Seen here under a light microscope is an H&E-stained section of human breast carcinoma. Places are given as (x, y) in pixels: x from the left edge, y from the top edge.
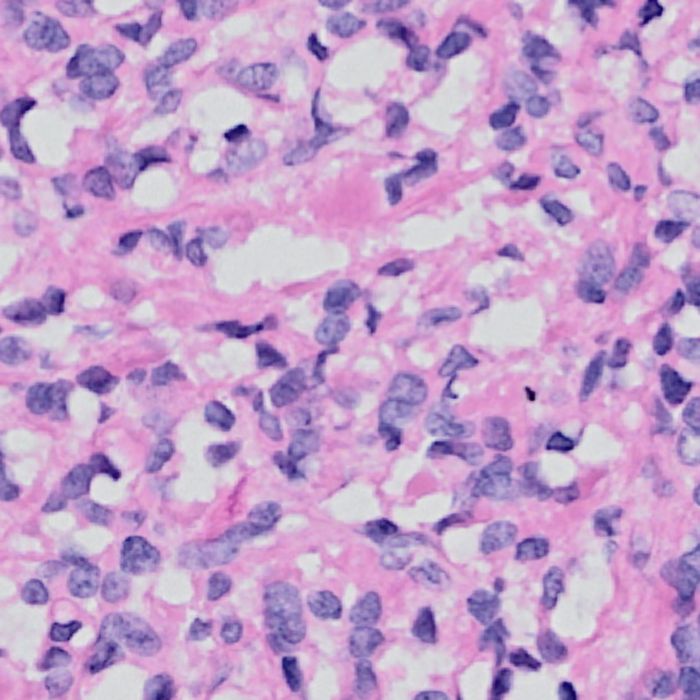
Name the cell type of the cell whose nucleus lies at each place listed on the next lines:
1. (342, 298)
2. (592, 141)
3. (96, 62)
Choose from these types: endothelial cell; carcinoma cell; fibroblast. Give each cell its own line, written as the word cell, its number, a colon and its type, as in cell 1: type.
cell 1: carcinoma cell
cell 2: endothelial cell
cell 3: carcinoma cell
